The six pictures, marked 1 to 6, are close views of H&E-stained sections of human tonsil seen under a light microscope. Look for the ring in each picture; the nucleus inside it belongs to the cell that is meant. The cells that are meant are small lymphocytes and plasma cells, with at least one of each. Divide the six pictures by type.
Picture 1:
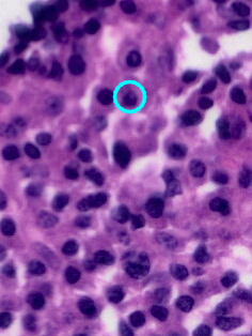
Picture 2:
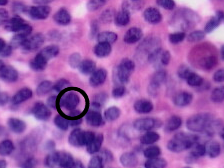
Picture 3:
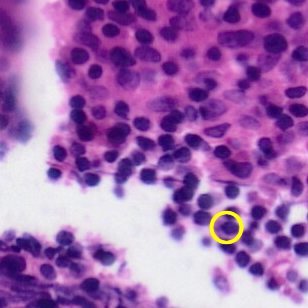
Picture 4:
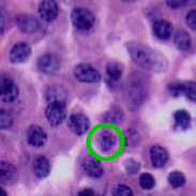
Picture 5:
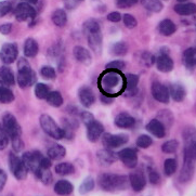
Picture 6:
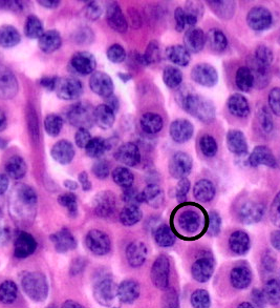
1: plasma cell
2: small lymphocyte
3: small lymphocyte
4: plasma cell
5: small lymphocyte
6: plasma cell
